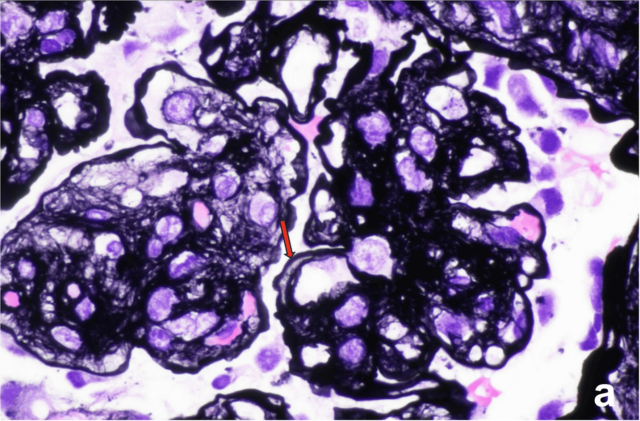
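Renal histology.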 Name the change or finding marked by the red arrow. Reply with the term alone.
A: duplication of glomerular capillary walls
